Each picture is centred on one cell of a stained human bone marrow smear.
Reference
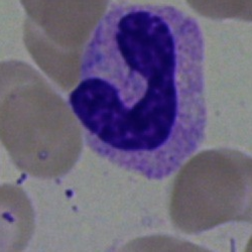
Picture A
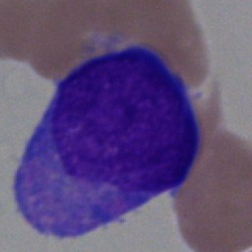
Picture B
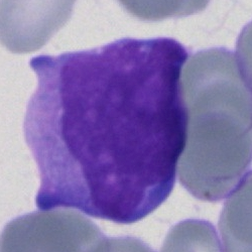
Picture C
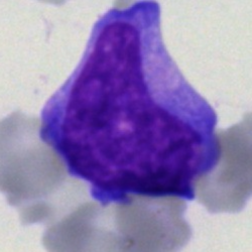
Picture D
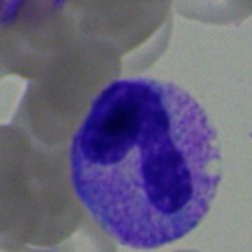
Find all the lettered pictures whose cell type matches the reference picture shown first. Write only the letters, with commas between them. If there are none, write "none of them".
D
